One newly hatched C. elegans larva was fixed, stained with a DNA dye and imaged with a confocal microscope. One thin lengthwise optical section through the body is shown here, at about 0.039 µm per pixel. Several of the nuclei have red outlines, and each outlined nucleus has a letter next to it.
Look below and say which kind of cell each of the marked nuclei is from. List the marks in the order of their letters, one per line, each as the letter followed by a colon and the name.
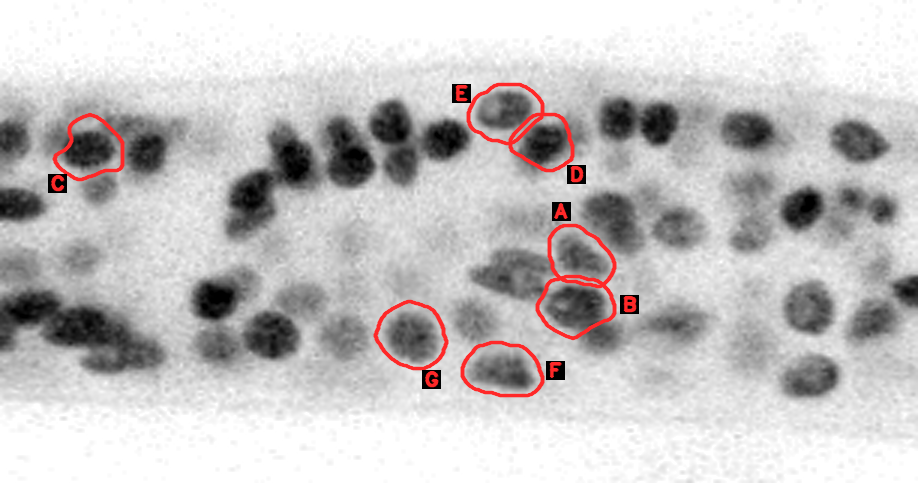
A: pharyngeal muscle cell
B: pharyngeal muscle cell
C: neuron
D: neuron
E: body wall muscle cell
F: body wall muscle cell
G: neuron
